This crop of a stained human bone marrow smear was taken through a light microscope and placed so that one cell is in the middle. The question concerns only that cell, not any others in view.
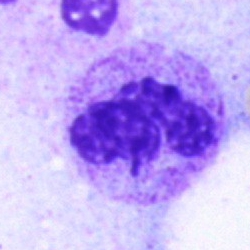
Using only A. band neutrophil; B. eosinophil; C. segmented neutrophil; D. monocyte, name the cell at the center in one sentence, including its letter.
Option C is the correct one; it names the central cell as a segmented neutrophil.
